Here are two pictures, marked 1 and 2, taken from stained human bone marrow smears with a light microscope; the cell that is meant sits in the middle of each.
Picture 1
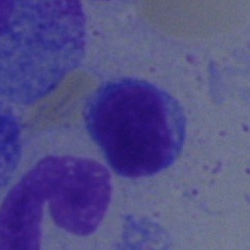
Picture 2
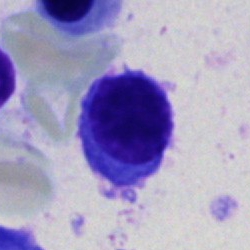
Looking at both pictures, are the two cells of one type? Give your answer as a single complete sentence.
No, they differ: the cell is a lymphocyte in picture 1 and a plasma cell in picture 2.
